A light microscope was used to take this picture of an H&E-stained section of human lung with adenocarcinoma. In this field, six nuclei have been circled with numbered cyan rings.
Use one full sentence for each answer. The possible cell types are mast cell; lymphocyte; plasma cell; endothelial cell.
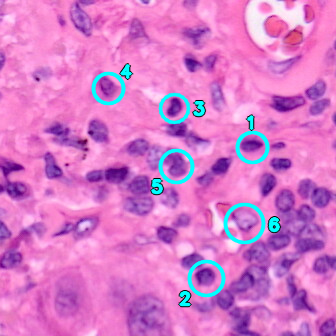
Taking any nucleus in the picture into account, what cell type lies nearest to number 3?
The nearest nucleus to number 3 belongs to a lymphocyte.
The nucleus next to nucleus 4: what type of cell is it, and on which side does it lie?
Lying below nucleus 4, the nearest nucleus is that of a lymphocyte.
